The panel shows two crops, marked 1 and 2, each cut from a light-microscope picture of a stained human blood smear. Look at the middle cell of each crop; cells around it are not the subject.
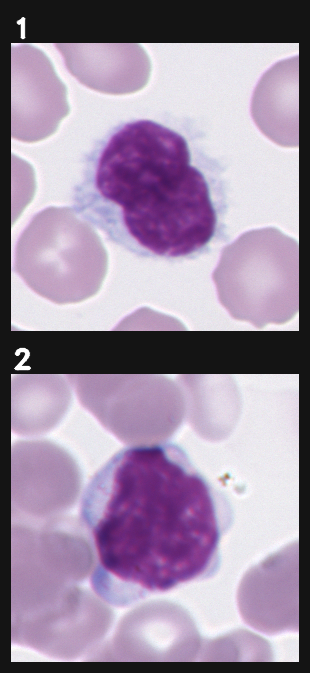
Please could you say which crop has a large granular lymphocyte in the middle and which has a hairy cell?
1: hairy cell
2: large granular lymphocyte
